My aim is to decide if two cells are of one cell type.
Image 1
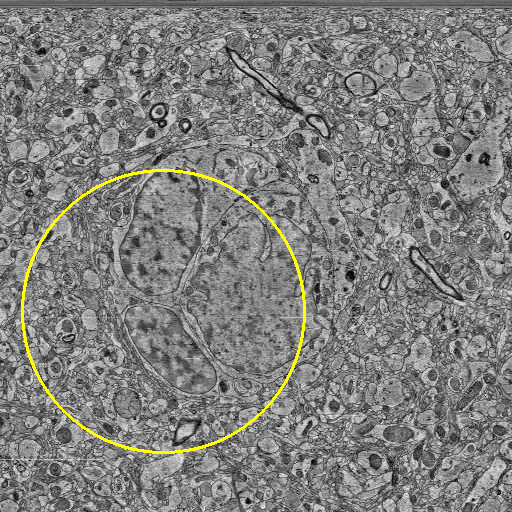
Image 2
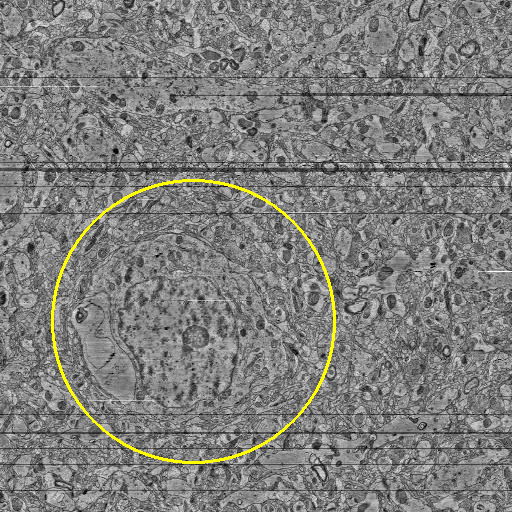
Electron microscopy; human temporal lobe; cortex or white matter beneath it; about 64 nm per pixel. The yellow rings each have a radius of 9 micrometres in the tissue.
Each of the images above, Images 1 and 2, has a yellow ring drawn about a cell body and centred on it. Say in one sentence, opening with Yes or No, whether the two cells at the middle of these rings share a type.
No, in Images 1 and 2 the cells at the middle of the rings fall into two types.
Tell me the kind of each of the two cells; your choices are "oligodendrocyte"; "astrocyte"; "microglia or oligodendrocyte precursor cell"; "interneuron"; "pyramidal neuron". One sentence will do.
The ringed cell is a microglial cell or oligodendrocyte precursor cell in the first picture and an interneuron in the second picture.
